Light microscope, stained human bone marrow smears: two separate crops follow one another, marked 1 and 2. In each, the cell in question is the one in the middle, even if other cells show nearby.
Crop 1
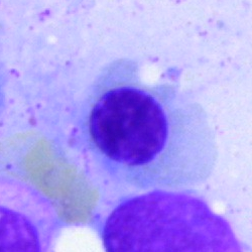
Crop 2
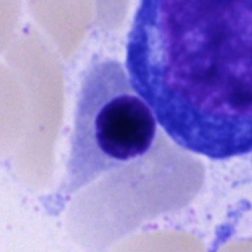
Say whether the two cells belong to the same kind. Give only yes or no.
yes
